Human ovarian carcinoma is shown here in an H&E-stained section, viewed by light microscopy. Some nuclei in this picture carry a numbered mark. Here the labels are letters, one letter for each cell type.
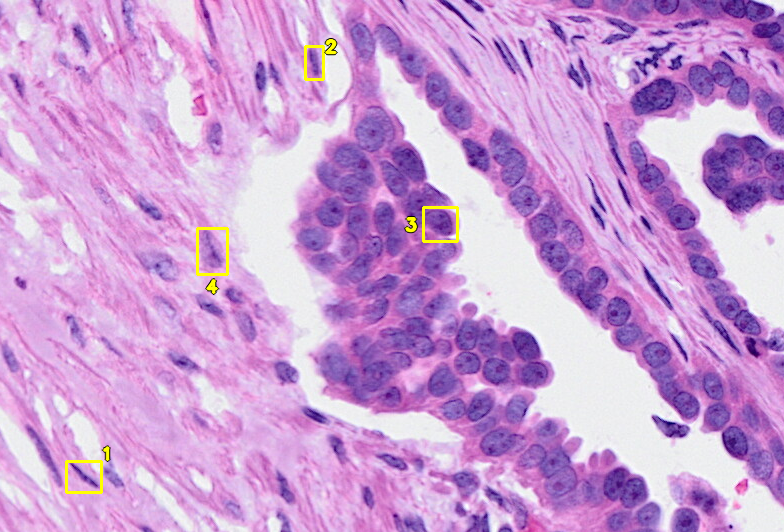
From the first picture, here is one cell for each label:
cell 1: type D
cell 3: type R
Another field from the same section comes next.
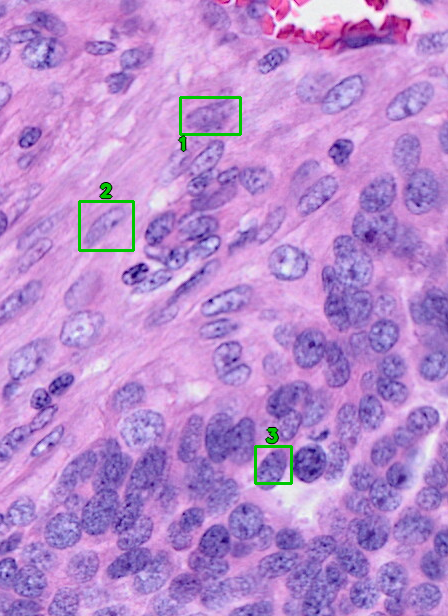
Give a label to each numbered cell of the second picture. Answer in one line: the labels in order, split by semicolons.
type D; type D; type R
